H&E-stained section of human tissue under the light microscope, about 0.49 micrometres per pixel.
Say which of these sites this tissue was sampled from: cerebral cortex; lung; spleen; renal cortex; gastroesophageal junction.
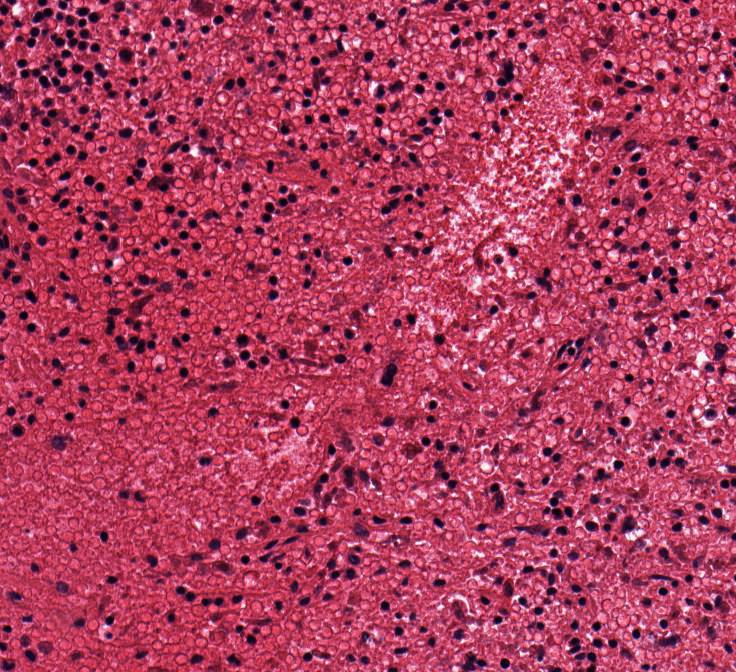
spleen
